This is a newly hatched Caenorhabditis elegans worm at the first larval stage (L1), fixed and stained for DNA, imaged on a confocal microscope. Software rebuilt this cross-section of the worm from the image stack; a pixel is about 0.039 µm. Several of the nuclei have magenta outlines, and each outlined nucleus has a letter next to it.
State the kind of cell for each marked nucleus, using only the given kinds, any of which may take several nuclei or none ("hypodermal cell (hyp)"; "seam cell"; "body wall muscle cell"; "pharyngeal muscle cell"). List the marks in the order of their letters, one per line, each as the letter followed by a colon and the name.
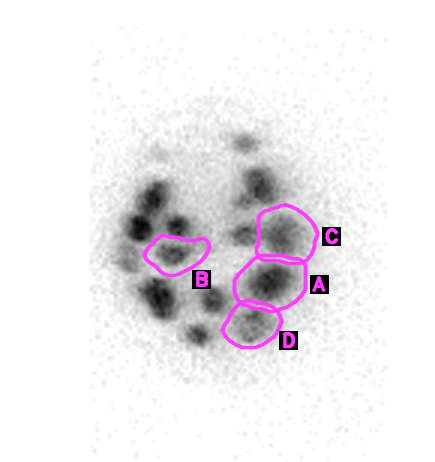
A: hypodermal cell (hyp)
B: pharyngeal muscle cell
C: seam cell
D: body wall muscle cell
